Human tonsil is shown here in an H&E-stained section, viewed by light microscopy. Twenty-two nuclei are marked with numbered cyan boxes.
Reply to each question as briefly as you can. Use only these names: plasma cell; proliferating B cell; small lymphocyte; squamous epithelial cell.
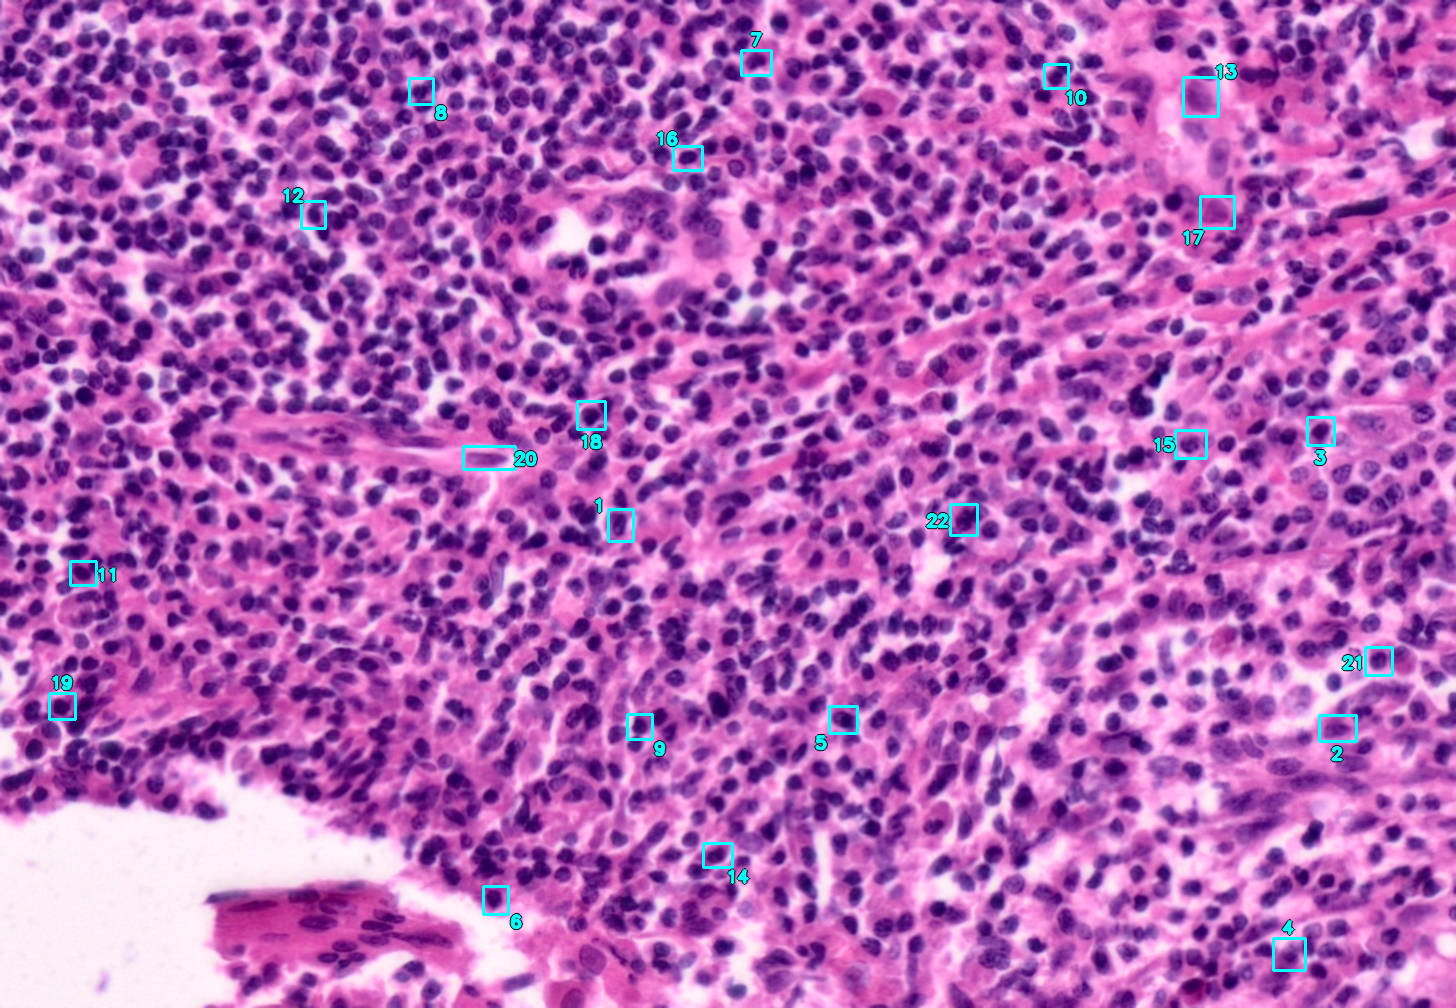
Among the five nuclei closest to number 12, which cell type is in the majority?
small lymphocyte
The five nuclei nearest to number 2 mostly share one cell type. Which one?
squamous epithelial cell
